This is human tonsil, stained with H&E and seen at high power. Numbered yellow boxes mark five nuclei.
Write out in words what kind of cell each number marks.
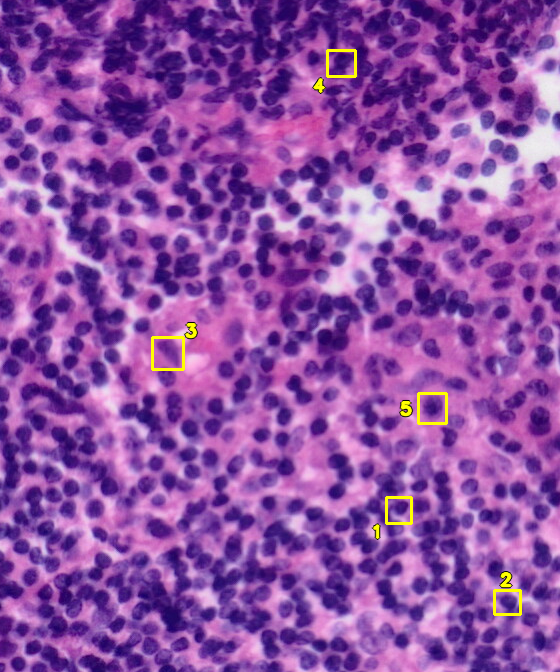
Cells 1, 2 and 4 are small lymphocytes. Cell 3 is an endothelial cell. Cell 5 is a plasma cell.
